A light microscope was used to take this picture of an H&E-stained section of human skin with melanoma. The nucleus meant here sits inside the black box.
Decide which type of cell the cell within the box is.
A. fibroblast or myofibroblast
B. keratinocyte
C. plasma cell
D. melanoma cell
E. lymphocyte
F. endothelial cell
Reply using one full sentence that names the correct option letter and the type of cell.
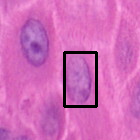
Option B correctly identifies the cell within the box as a keratinocyte.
